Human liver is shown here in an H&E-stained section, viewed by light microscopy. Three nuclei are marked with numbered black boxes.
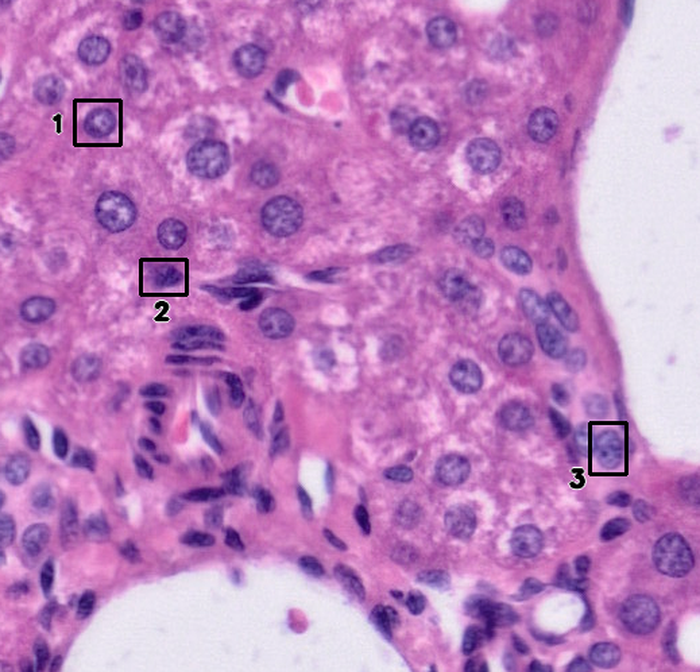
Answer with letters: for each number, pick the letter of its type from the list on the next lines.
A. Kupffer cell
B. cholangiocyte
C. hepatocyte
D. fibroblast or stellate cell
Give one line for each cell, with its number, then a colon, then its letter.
1: C
2: D
3: B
